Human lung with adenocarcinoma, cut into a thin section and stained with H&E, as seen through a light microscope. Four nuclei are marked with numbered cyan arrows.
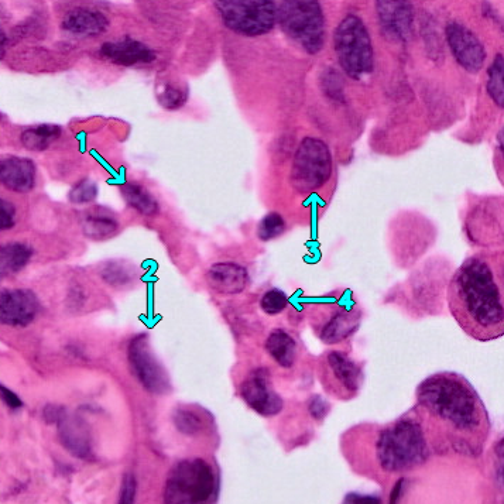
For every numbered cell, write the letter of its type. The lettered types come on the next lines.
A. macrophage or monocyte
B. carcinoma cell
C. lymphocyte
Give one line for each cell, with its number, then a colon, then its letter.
1: A
2: B
3: B
4: C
